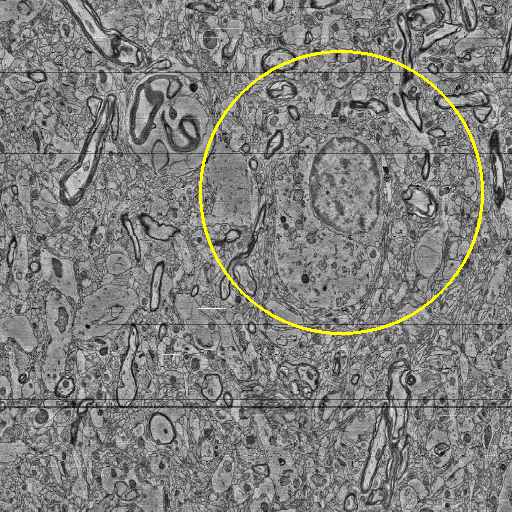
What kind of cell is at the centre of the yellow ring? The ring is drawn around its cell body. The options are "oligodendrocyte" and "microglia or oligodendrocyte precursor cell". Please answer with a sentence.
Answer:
The yellow ring marks the cell body of an oligodendrocyte.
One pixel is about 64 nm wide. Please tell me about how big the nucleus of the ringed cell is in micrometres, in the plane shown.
In this plane, the nucleus of the cell at the centre of the ring measures about 7 by 4 micrometres.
